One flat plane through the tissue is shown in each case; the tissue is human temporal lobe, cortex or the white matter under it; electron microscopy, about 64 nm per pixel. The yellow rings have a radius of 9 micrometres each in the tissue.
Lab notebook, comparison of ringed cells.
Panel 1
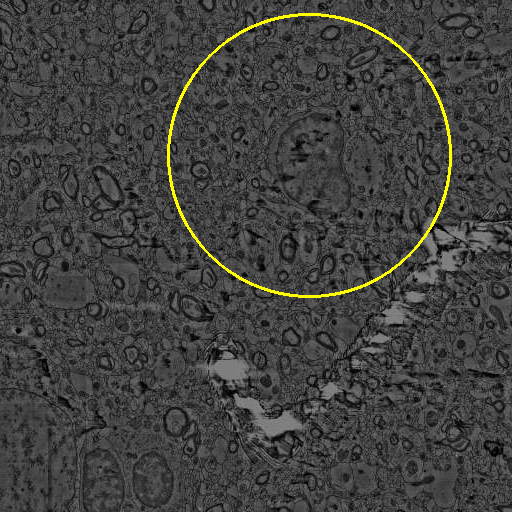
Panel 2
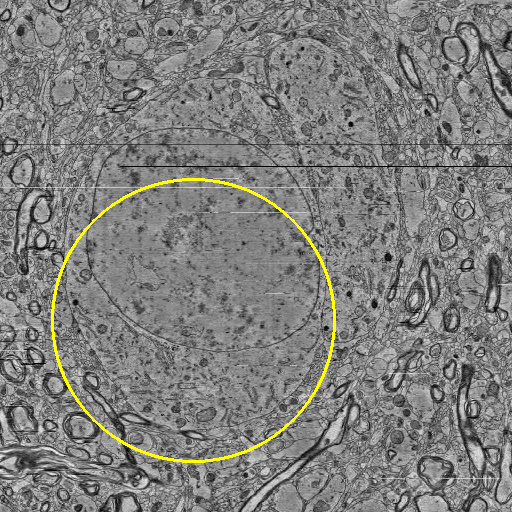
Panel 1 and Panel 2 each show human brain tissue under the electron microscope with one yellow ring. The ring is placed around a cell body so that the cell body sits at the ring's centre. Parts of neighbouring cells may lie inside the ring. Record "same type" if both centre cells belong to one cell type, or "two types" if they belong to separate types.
two types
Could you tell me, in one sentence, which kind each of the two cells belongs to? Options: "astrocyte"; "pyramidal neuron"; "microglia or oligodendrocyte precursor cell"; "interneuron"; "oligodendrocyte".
At the centre of the first ring sits an oligodendrocyte, and at the centre of the second sits a pyramidal neuron.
